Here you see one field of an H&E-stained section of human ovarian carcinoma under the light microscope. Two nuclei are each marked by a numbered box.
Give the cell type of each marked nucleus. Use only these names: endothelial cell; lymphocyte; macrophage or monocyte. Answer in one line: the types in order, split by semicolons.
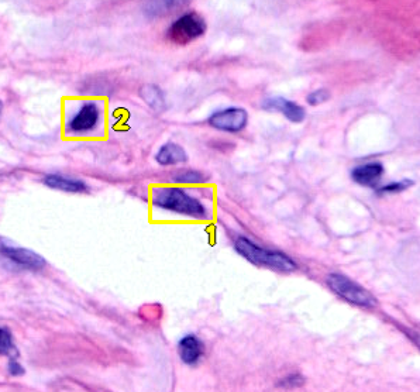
endothelial cell; lymphocyte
